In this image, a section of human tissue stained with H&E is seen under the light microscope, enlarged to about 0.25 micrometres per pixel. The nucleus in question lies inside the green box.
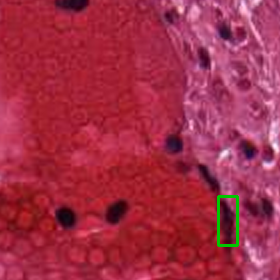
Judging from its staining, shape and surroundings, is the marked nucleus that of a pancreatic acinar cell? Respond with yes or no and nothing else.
no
